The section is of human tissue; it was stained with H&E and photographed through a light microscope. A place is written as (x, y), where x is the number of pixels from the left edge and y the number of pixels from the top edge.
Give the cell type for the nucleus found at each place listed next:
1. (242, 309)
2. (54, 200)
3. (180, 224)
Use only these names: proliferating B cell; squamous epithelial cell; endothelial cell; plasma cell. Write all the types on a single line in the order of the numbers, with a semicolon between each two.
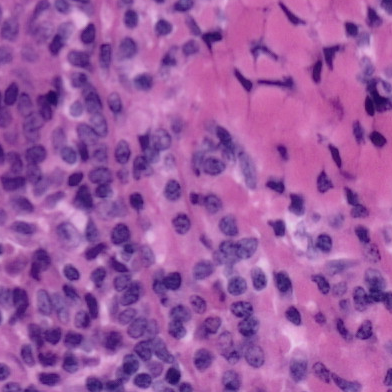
plasma cell; squamous epithelial cell; plasma cell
